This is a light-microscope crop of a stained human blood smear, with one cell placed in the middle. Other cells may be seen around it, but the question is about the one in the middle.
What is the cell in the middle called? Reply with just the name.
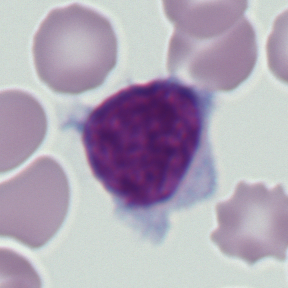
hairy cell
